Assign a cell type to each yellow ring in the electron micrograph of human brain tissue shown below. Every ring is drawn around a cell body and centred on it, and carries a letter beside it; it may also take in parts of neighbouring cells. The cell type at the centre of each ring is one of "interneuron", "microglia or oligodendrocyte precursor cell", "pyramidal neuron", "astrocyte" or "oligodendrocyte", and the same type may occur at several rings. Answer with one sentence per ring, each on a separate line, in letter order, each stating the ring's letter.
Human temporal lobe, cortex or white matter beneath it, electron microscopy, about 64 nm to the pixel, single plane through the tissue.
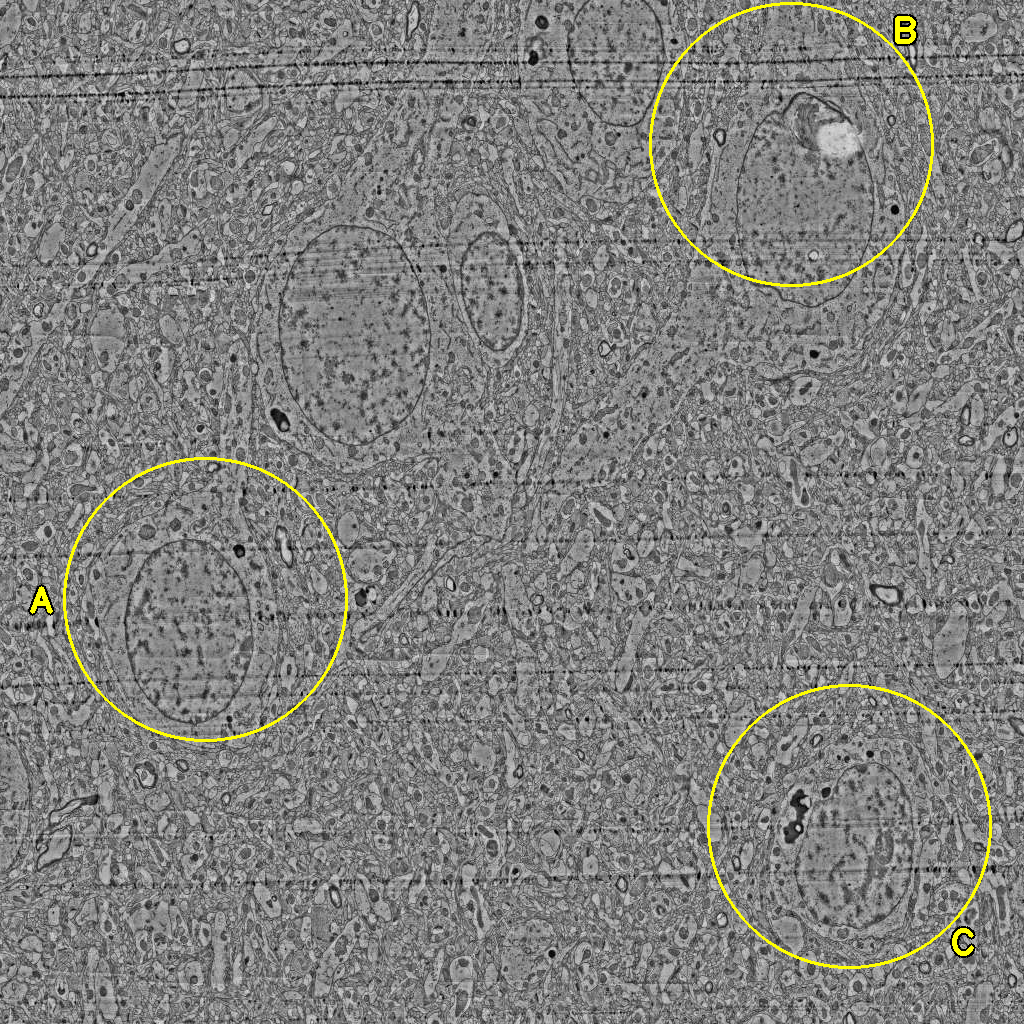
The cell at ring A's centre is a pyramidal neuron.
The cell at ring B's centre is a pyramidal neuron.
The cell at ring C's centre is an interneuron.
